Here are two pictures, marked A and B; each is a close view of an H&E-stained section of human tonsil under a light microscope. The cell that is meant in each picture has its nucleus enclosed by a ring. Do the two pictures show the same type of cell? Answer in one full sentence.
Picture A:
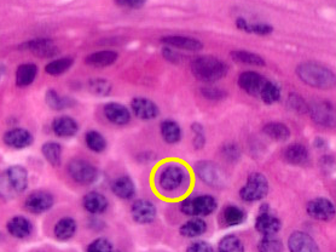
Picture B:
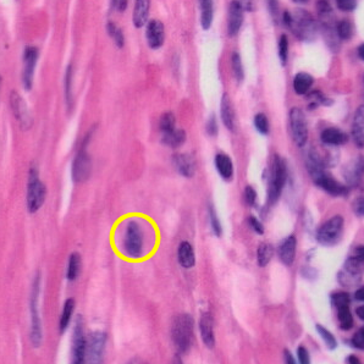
No. Picture A shows a plasma cell, but picture B shows a mast cell.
